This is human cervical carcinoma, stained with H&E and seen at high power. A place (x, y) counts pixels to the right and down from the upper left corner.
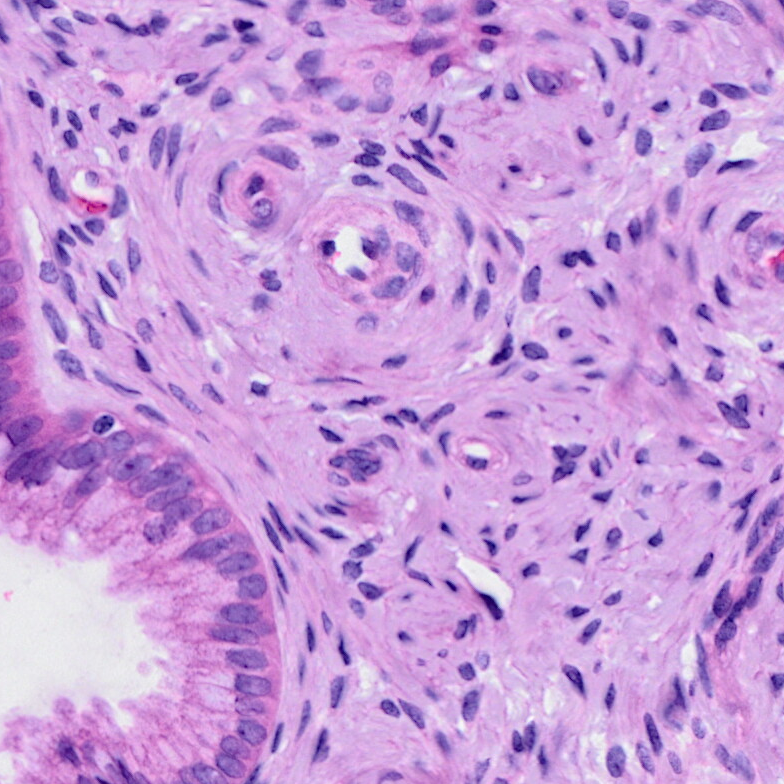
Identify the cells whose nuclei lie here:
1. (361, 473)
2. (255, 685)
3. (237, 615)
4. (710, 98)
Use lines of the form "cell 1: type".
cell 1: endothelial cell
cell 2: secretory epithelial cell
cell 3: secretory epithelial cell
cell 4: fibroblast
